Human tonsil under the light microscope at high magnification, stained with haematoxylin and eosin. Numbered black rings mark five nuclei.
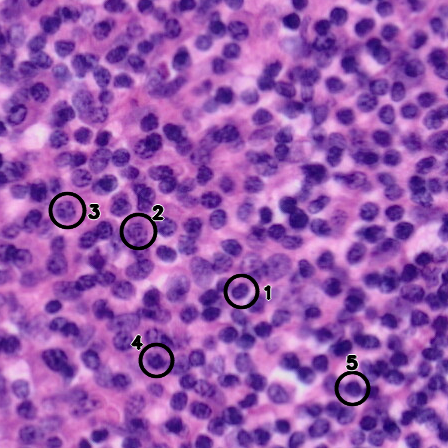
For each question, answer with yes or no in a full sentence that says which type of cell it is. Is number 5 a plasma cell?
No, not a plasma cell: the cell with number 5 is a small lymphocyte.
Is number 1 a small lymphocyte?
Yes, the cell that the number 1 labels is a small lymphocyte.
